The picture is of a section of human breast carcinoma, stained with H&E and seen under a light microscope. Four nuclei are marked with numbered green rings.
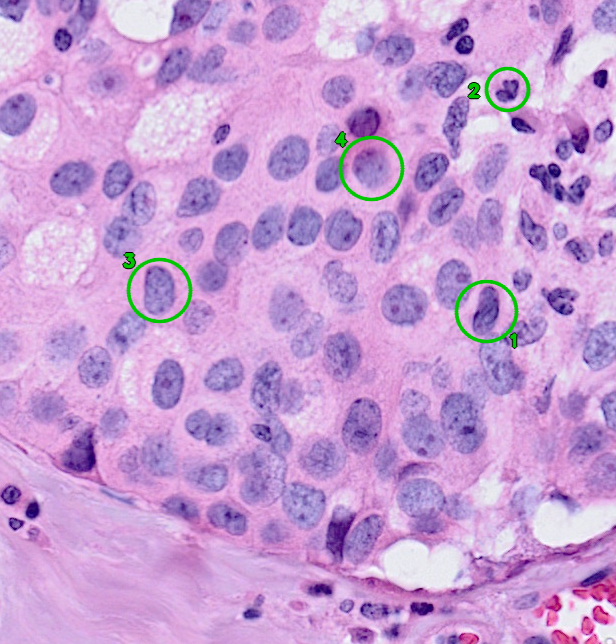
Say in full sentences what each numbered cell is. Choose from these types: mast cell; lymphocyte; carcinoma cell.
Cells 1, 3 and 4 are carcinoma cells. Cell 2 is a lymphocyte.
